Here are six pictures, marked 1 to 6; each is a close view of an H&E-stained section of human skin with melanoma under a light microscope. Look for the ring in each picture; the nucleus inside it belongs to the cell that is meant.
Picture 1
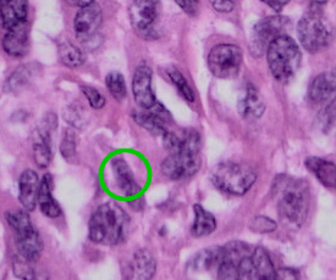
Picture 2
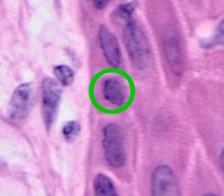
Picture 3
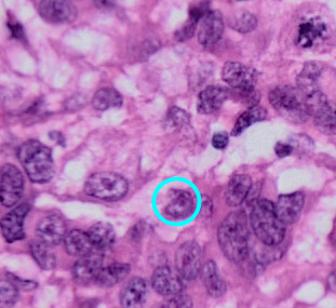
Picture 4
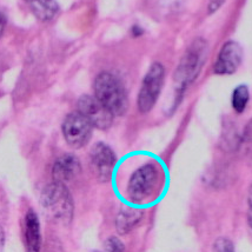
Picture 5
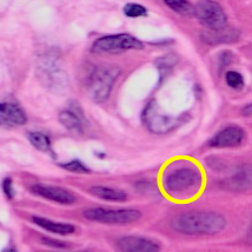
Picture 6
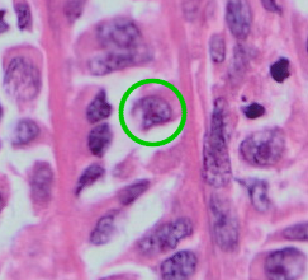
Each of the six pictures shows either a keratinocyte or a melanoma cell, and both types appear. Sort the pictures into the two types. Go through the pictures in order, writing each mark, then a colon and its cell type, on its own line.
1: melanoma cell
2: keratinocyte
3: melanoma cell
4: melanoma cell
5: keratinocyte
6: melanoma cell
